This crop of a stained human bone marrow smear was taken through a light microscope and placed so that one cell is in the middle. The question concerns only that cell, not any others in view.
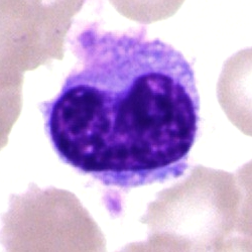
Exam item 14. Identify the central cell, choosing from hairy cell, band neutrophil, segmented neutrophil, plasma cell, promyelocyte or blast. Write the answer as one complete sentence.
The cell nearest the centre of this crop is a hairy cell.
